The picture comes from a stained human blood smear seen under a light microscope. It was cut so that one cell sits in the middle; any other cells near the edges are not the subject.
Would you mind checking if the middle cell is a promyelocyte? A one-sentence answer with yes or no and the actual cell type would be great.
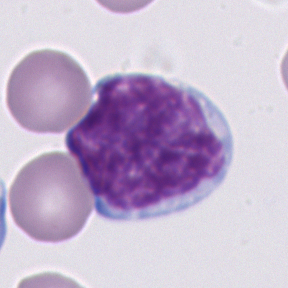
No, in this crop the central cell is a blast instead of a promyelocyte.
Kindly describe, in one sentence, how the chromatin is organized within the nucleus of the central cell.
What stands out is chromatin that is coarsely clumped.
